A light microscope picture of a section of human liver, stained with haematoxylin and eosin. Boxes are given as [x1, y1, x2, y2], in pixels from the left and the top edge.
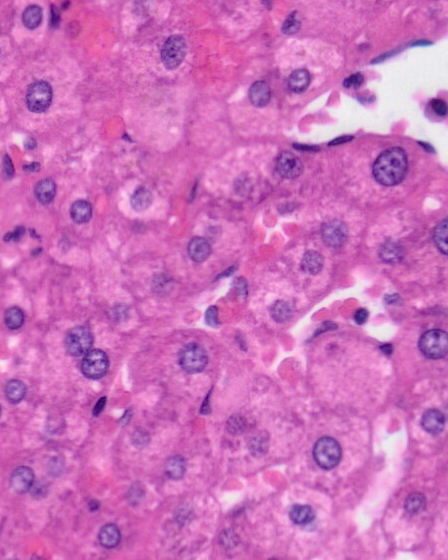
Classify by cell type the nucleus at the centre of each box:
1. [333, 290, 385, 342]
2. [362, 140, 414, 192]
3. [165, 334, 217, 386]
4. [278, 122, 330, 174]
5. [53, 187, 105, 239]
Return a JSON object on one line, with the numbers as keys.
{"1": "lymphocyte", "2": "hepatocyte", "3": "hepatocyte", "4": "fibroblast or stellate cell", "5": "hepatocyte"}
